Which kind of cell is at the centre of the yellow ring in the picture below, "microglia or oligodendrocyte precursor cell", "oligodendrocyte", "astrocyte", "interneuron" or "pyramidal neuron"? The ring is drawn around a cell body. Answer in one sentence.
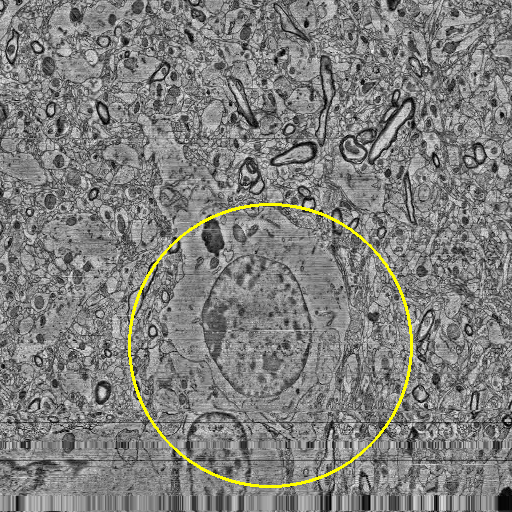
The ring's central cell is an astrocyte.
